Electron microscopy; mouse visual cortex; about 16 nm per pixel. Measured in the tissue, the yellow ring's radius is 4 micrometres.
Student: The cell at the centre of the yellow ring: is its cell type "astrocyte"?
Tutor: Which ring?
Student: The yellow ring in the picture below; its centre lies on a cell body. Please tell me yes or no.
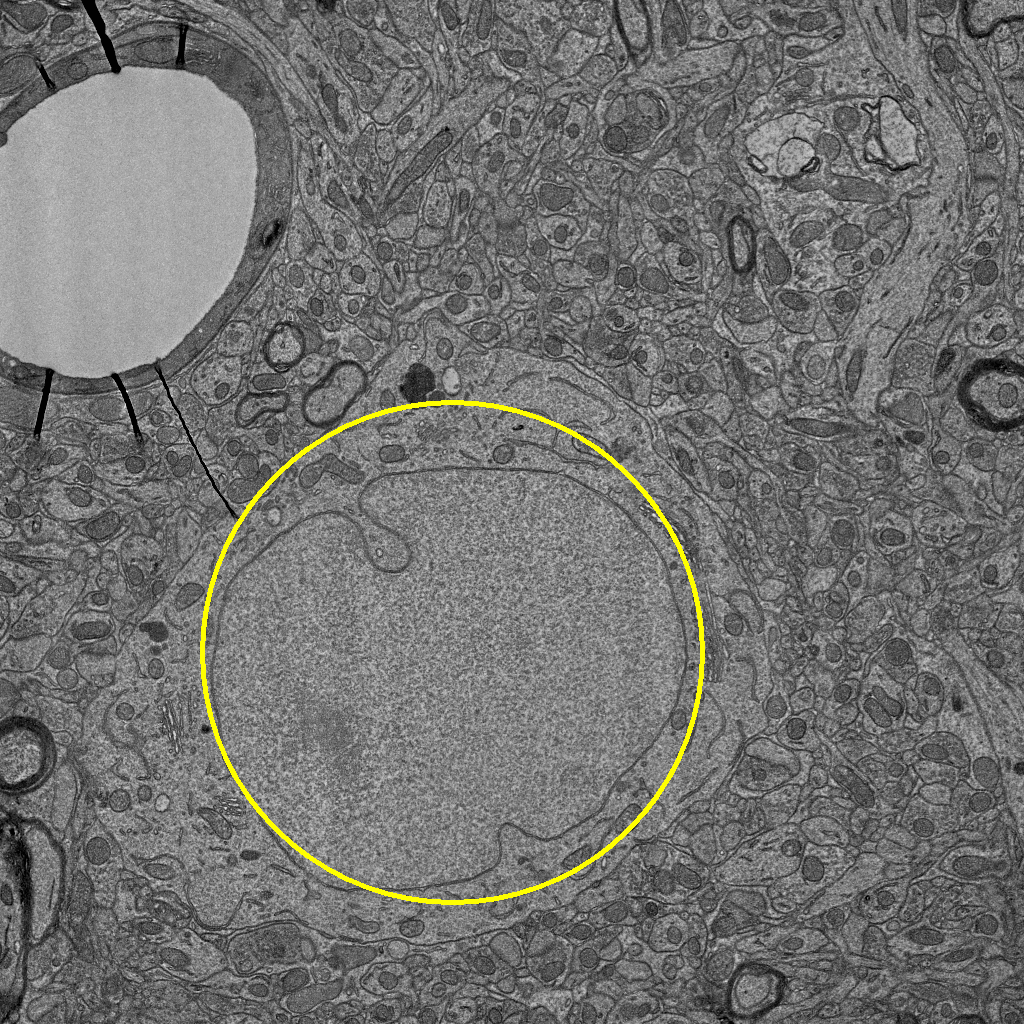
no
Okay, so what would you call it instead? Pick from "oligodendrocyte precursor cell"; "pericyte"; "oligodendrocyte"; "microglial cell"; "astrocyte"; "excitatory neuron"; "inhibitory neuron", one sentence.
The cell at the middle of the ring is an excitatory neuron.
